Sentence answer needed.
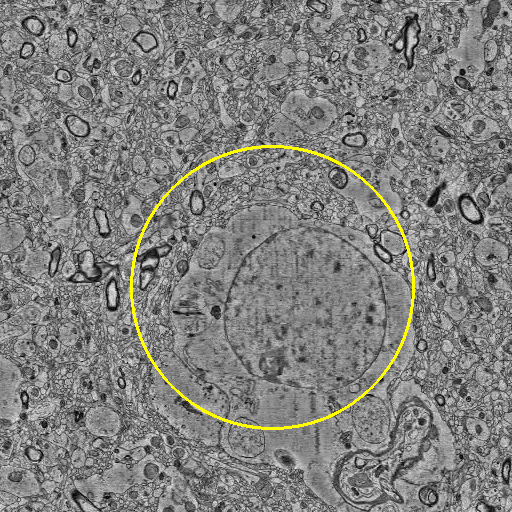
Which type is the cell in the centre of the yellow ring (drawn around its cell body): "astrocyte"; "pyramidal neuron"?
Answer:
In the centre of the yellow ring is an astrocyte.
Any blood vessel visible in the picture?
Yes, one appears.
